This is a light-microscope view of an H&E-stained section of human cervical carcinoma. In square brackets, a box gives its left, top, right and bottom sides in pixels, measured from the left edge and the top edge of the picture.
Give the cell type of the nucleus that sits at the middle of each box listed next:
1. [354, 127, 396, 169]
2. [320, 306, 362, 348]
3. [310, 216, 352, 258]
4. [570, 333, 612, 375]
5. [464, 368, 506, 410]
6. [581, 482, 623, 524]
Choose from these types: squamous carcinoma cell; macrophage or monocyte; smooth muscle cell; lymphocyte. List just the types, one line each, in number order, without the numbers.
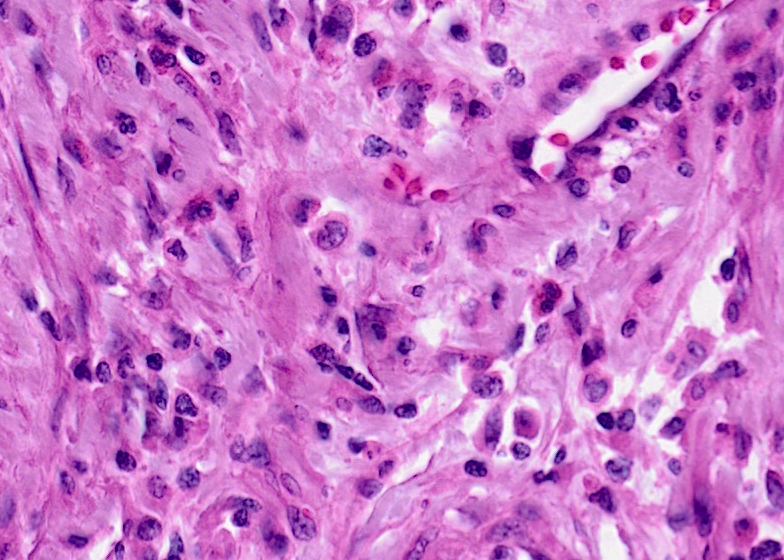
lymphocyte
lymphocyte
macrophage or monocyte
macrophage or monocyte
macrophage or monocyte
macrophage or monocyte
